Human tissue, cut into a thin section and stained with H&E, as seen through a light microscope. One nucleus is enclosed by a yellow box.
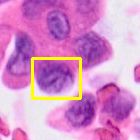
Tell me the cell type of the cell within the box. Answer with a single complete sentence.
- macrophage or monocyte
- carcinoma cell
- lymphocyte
In this section, the cell within the box is a carcinoma cell.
